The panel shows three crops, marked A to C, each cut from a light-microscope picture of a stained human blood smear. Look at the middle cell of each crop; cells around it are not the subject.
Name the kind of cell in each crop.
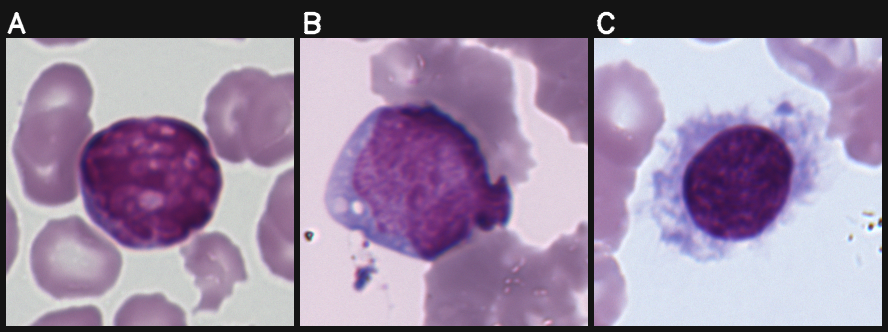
A: myeloblast
B: myeloblast
C: hairy cell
